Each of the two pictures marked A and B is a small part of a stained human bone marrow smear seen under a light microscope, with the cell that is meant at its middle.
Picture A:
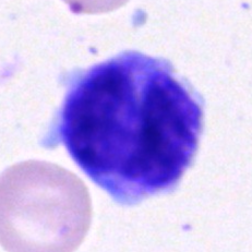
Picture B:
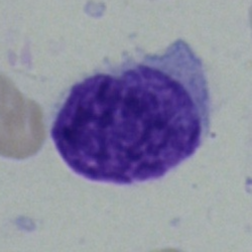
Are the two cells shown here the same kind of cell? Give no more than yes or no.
no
